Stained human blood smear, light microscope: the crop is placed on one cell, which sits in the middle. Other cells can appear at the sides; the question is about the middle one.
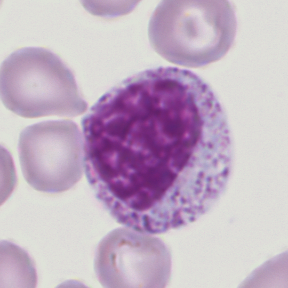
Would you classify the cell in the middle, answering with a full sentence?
Centrally within this crop lies a metamyelocyte.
